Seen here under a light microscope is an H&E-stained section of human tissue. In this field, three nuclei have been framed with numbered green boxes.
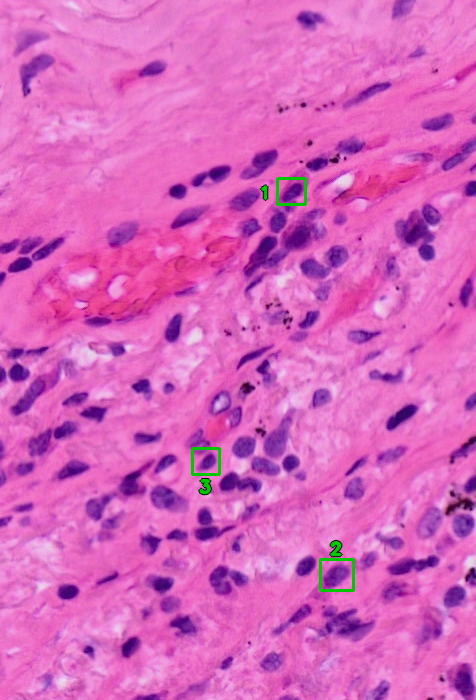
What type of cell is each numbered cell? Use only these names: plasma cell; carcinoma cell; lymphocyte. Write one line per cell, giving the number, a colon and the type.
1: plasma cell
2: plasma cell
3: lymphocyte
